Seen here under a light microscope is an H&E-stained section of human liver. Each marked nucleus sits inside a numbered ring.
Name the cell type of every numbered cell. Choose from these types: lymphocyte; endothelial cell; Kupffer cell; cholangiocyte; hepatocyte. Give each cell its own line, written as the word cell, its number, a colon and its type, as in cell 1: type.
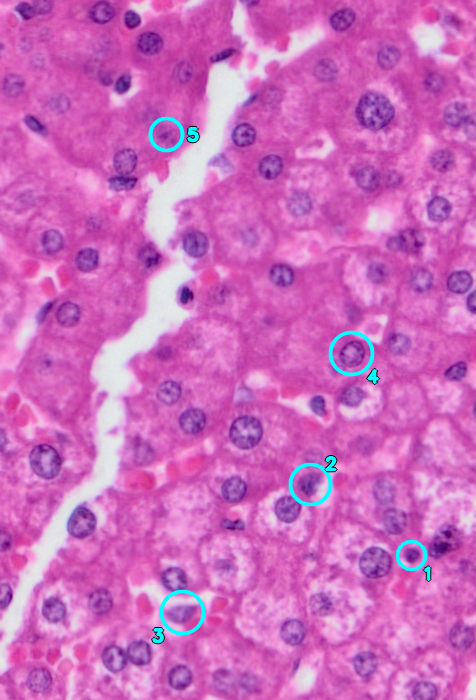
cell 1: lymphocyte
cell 2: endothelial cell
cell 3: Kupffer cell
cell 4: hepatocyte
cell 5: hepatocyte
